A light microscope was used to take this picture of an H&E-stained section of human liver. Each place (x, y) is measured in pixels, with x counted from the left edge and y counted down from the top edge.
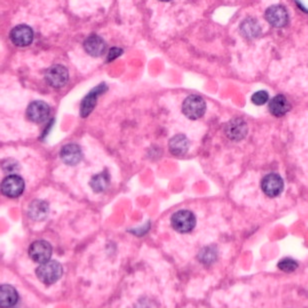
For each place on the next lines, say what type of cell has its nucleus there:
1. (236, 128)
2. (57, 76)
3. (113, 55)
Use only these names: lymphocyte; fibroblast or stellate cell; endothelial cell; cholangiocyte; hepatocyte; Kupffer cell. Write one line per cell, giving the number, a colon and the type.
1: hepatocyte
2: hepatocyte
3: fibroblast or stellate cell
